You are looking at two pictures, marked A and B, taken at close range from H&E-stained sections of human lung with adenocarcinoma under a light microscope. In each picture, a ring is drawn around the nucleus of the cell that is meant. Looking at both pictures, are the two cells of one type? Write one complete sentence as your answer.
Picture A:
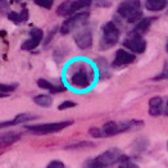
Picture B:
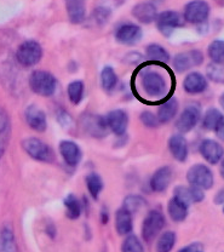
Yes, they are the same type: both are lymphocytes.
